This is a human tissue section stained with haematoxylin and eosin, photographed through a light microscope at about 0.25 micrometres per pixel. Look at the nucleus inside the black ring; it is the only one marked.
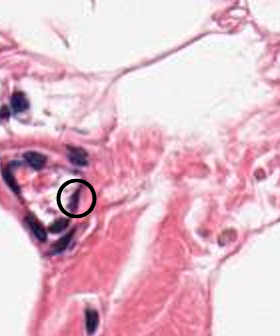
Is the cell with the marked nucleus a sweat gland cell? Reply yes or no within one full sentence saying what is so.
No, belonging to a supporting cell, the marked nucleus is not part of a sweat gland cell.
